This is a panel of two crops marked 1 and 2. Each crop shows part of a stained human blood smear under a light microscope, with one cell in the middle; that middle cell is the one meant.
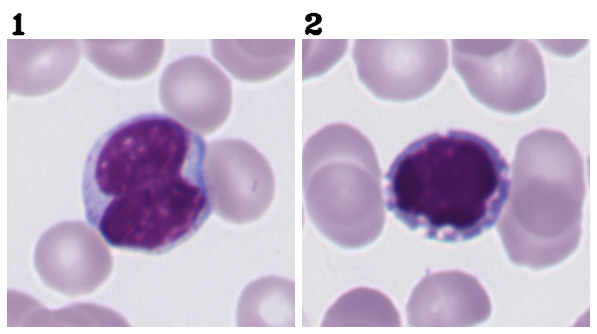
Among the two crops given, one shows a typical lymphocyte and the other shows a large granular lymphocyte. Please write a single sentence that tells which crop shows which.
The correct labels are a large granular lymphocyte for crop 1 and a typical lymphocyte for crop 2.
